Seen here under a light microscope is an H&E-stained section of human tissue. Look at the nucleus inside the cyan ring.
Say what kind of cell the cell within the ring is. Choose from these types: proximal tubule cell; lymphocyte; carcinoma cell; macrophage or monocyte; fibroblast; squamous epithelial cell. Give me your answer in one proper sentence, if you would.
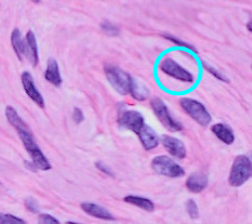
It is as a fibroblast that the cell within the ring is recorded.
